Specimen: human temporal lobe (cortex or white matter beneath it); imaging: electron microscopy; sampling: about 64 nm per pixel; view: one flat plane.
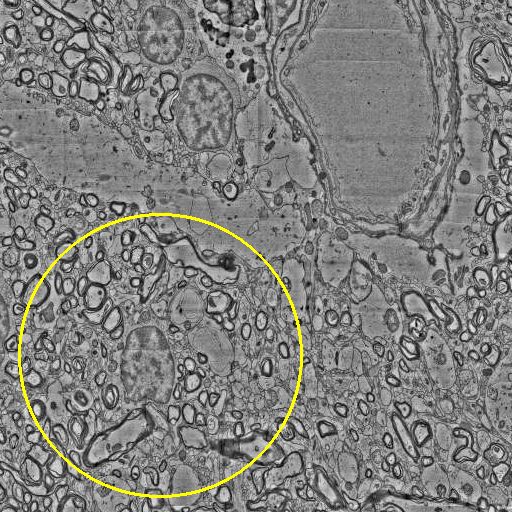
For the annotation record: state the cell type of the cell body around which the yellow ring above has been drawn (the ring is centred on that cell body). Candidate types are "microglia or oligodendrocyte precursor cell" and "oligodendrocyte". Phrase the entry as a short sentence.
The ringed cell is an oligodendrocyte.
